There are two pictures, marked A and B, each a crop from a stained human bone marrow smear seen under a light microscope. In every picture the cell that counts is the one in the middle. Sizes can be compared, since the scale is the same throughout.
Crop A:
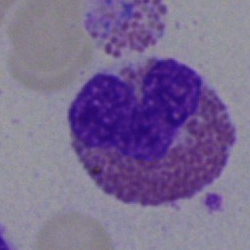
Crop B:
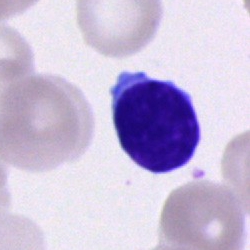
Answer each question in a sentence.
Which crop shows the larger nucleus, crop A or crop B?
Crop A shows the larger nucleus; it covers about 1.5 times the area of the nucleus in crop B.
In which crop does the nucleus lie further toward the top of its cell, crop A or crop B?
Seen within its cell, the nucleus in crop A lies further toward the top.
